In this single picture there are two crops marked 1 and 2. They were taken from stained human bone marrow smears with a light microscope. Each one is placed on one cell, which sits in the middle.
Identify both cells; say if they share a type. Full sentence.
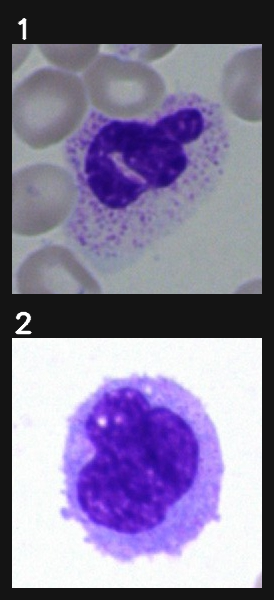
No, crop 1 contains a segmented neutrophil, whereas crop 2 contains a monocyte.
